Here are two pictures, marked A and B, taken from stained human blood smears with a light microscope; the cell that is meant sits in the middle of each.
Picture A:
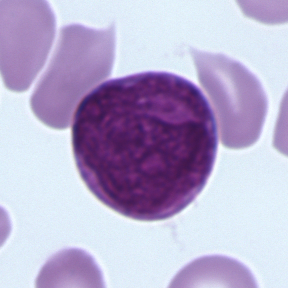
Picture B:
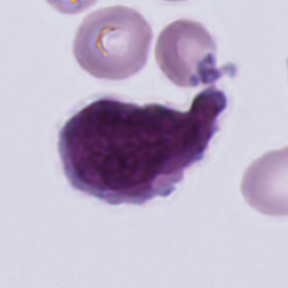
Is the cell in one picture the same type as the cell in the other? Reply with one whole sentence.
No, picture A shows a myeloblast and picture B shows an atypical promyelocyte.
